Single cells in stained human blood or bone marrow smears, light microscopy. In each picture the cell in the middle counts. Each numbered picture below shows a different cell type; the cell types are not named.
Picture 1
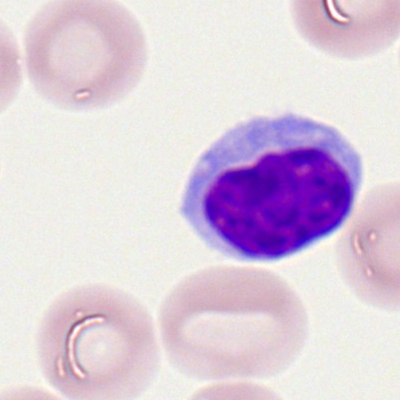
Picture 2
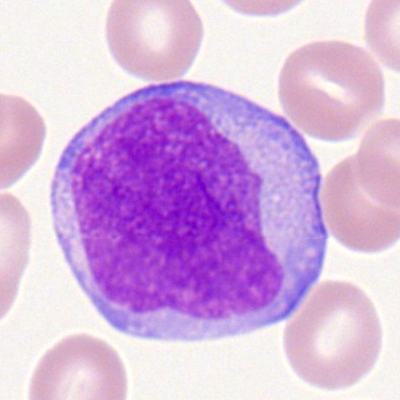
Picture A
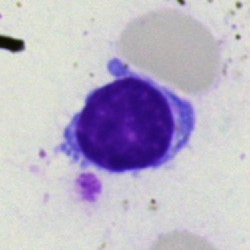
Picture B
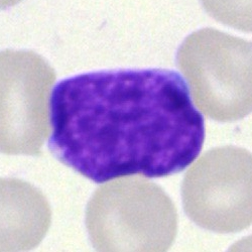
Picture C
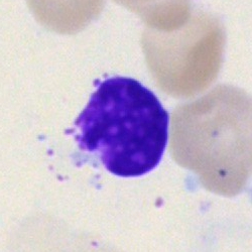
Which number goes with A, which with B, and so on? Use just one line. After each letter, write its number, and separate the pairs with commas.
A 1, B 2, C 1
